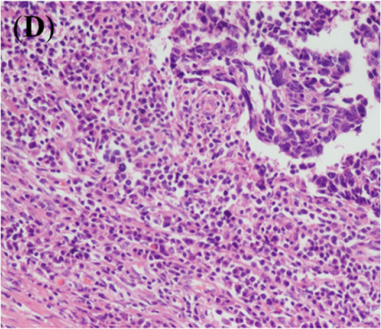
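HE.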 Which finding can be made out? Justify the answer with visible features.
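Lymphocyte infiltration. Many small round cells with dark round nuclei and little cytoplasm fill the lower and left part. A nest of larger tumor cells with bigger dark nuclei sits at the upper right. The small round cells lie among pink fibrous stroma beside the tumor nest.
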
